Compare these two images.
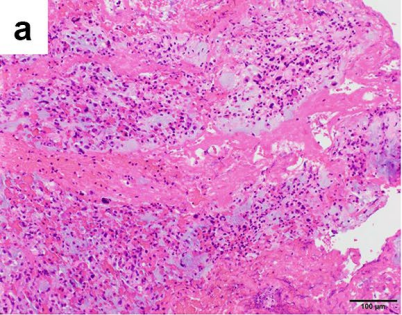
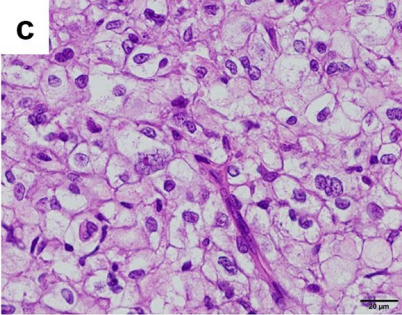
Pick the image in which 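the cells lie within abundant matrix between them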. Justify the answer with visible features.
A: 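Second image: cells are packed in a sheet with almost nothing between them. First image: broad pale matrix separates cords and strands of cells.
Hence: the first image.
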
